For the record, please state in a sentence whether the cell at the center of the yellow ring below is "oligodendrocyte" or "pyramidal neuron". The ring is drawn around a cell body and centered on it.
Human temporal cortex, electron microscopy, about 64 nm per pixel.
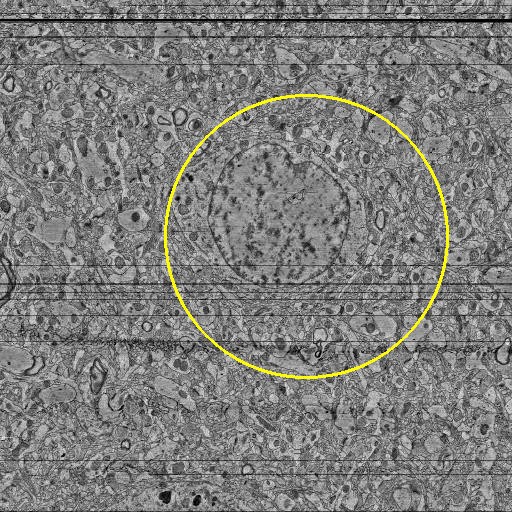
The cell at the ring's center is a pyramidal neuron.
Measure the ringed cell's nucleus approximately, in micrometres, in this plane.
In this plane, the nucleus measures approximately 9 micrometres across.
